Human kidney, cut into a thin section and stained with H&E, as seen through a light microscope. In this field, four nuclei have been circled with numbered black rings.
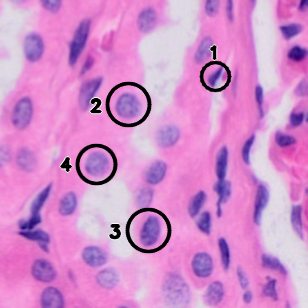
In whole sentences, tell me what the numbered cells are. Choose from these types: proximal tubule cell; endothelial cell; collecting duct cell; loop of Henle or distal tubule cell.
Cell 1 is an endothelial cell, cell 2 is a loop of Henle or distal tubule cell, cell 3 is a loop of Henle or distal tubule cell and cell 4 is a loop of Henle or distal tubule cell.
